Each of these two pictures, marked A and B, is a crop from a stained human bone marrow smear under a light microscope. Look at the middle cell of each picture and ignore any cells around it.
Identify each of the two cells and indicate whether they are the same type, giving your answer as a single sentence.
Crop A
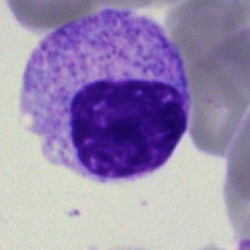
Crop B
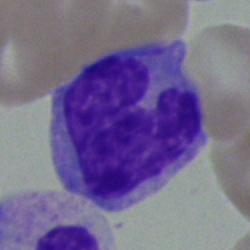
No, crop A presents a myelocyte, whereas crop B presents a monocyte.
